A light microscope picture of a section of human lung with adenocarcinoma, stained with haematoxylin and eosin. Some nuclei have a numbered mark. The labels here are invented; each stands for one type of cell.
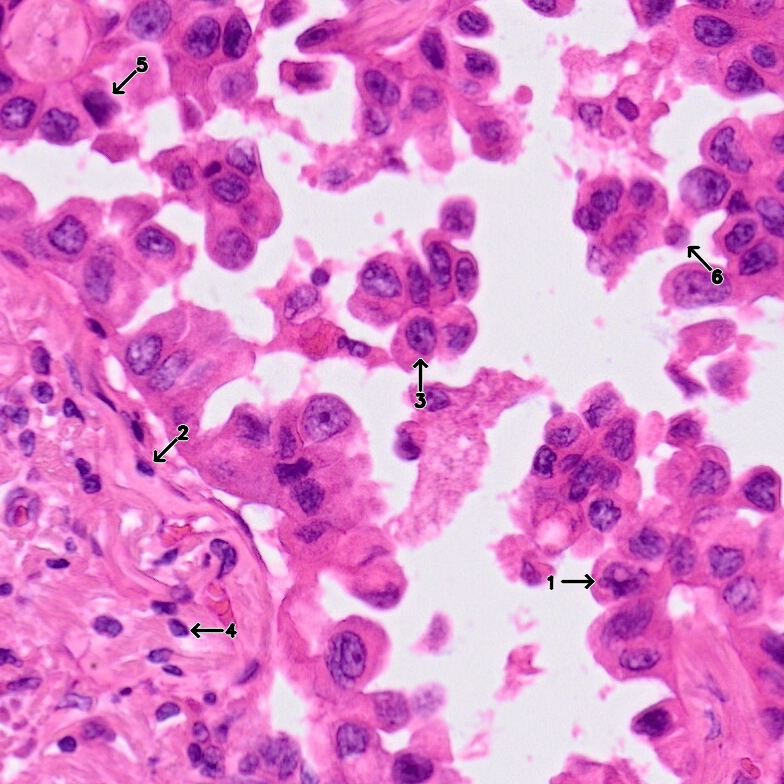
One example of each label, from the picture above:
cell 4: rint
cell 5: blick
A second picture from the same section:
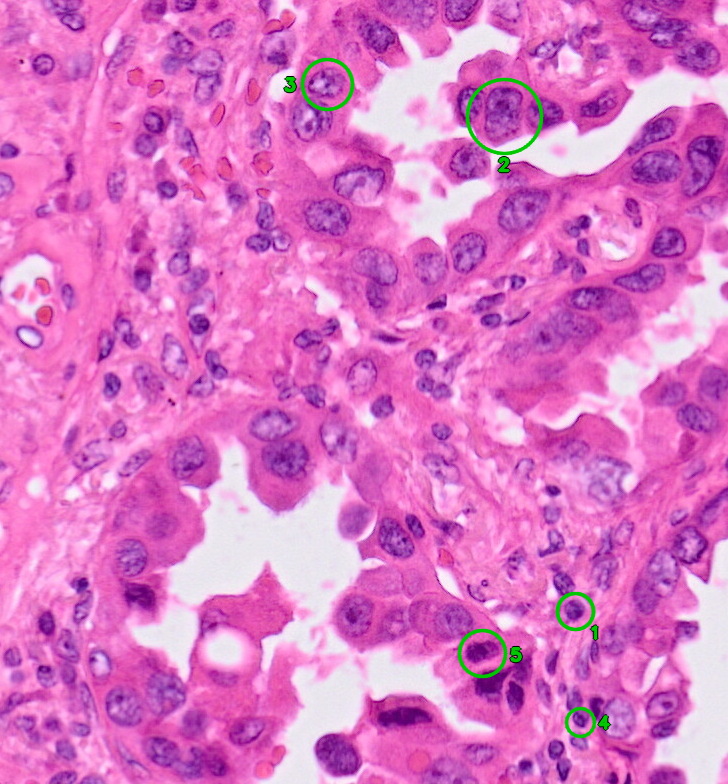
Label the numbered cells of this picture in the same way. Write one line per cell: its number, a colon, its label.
1: rint
2: blick
3: blick
4: rint
5: blick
